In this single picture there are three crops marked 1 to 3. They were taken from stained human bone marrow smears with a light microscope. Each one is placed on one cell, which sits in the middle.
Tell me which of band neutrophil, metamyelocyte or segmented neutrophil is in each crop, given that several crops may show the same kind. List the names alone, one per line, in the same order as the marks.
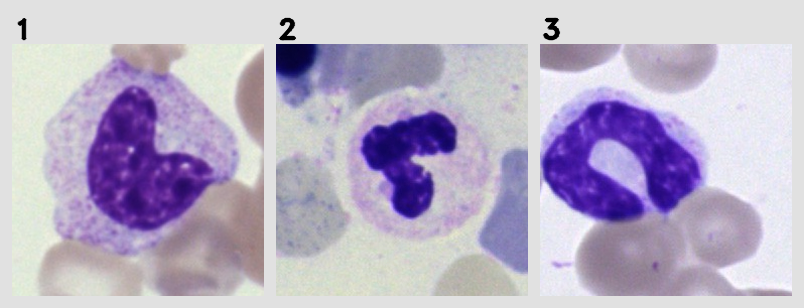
metamyelocyte
segmented neutrophil
band neutrophil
